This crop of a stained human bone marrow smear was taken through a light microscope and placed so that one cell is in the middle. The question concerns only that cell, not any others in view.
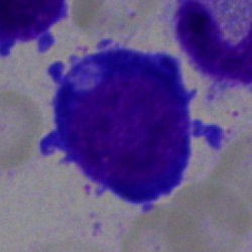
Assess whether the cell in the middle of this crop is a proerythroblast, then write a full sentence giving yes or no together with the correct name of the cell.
Yes, the cell in the middle is recognised as a proerythroblast.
